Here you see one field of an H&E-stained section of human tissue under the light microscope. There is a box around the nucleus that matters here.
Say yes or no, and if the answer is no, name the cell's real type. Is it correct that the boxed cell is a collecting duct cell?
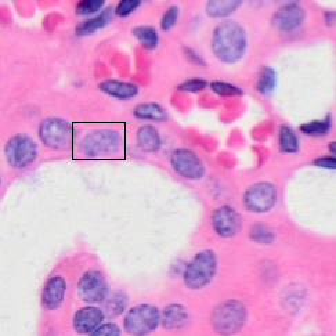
Yes.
